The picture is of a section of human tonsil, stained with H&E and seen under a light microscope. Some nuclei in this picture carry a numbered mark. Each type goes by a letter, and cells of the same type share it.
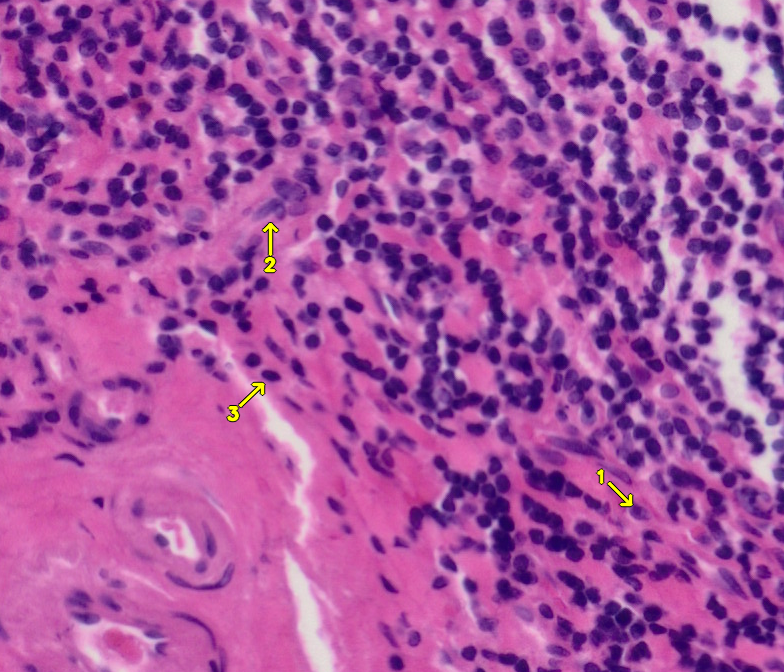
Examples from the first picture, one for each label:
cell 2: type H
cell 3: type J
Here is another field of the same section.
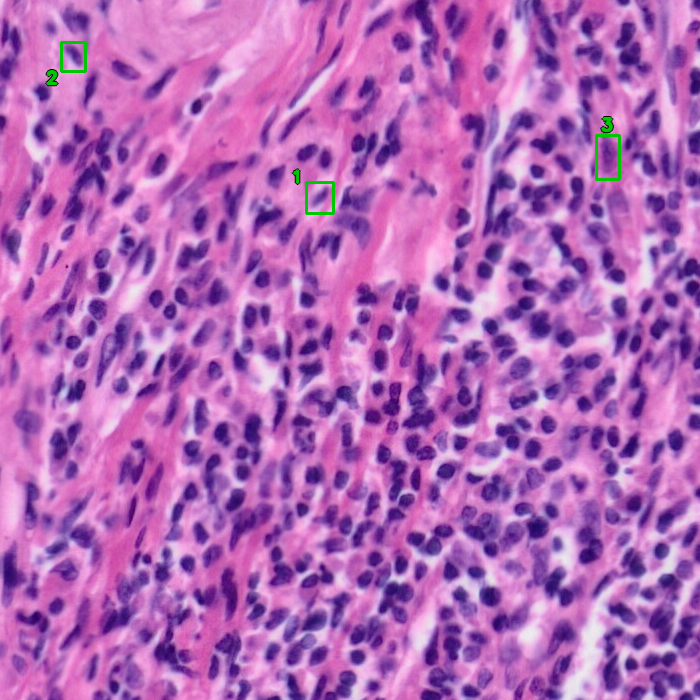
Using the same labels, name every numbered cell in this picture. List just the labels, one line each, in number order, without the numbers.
type J
type J
type H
